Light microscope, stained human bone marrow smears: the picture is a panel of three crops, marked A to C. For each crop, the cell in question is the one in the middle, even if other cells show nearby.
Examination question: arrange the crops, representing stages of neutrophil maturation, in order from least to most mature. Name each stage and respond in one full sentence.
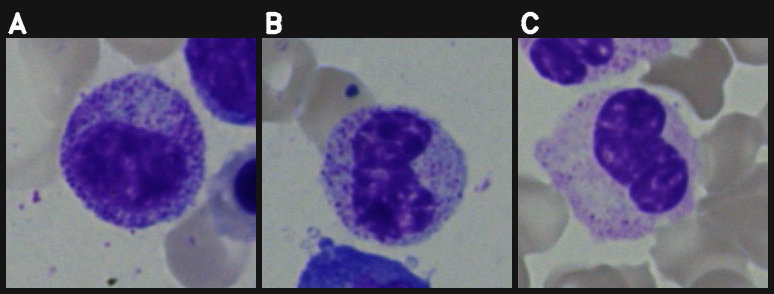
Least to most mature, the crops are crop A (a myelocyte), crop B (a metamyelocyte) and crop C (a band neutrophil).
